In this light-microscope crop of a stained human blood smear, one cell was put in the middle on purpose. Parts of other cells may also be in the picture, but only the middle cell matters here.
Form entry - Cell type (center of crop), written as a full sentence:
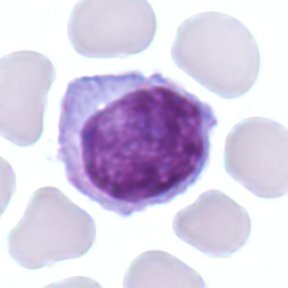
Centrally within this crop lies a plasma cell.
